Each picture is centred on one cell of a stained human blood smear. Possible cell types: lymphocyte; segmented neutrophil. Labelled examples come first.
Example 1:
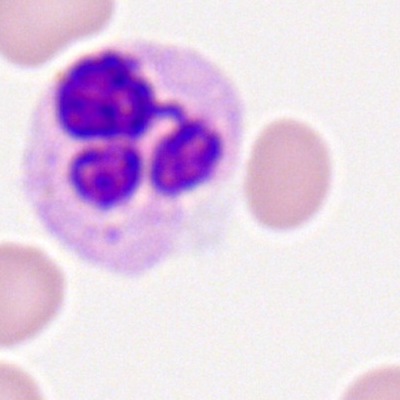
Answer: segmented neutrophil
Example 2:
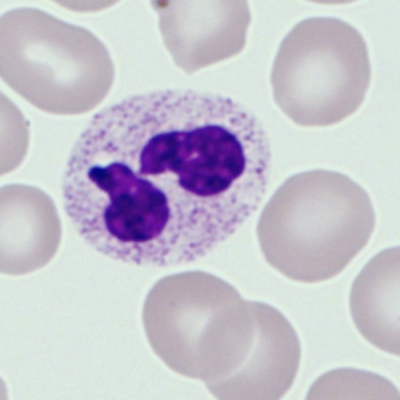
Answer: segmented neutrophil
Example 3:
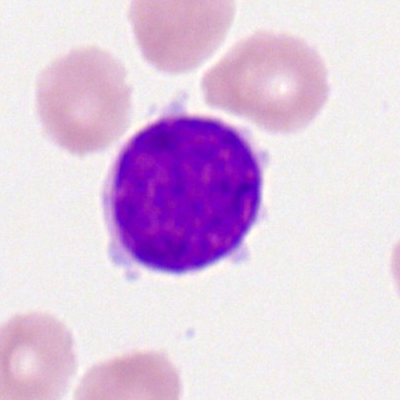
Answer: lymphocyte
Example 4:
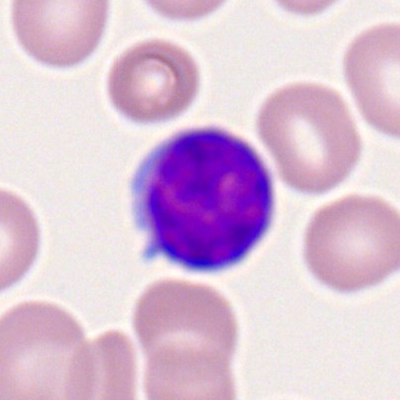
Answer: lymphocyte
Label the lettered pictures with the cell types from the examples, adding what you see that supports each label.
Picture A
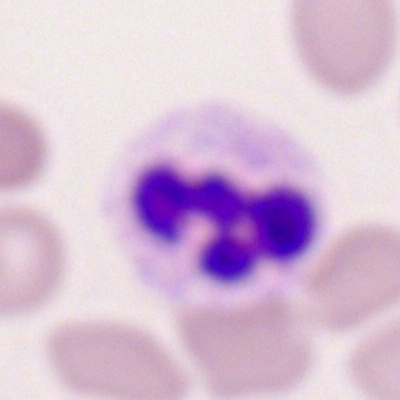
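segmented neutrophil. Evidence: The nucleus is divided into four lobes.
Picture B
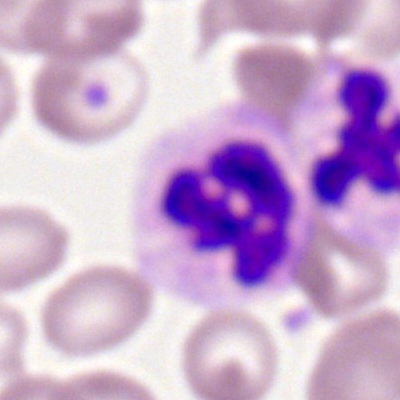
segmented neutrophil. Evidence: The nucleus is divided into several connected lobes.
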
